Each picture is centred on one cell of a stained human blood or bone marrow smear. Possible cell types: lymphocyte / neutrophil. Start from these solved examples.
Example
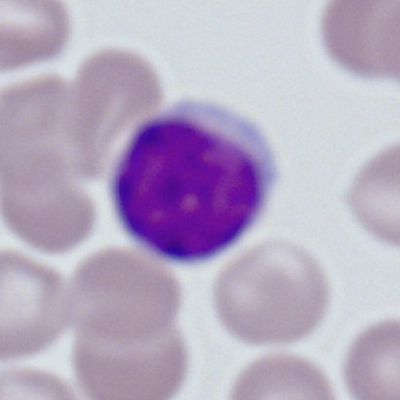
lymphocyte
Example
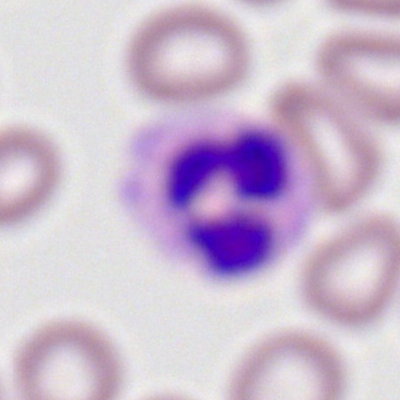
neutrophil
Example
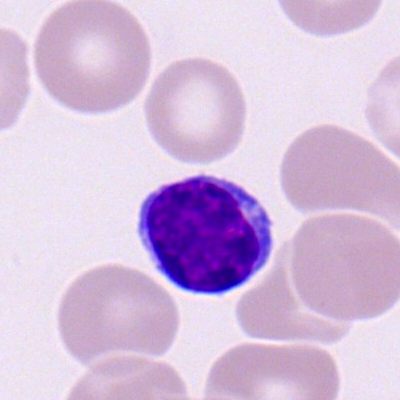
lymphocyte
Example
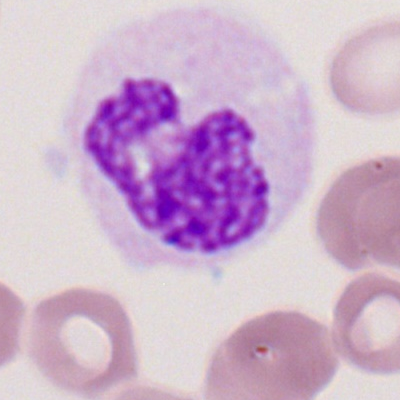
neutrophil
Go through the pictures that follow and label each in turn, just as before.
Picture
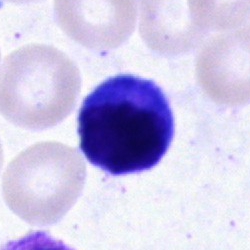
lymphocyte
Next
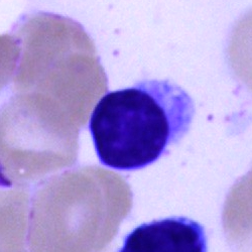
lymphocyte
